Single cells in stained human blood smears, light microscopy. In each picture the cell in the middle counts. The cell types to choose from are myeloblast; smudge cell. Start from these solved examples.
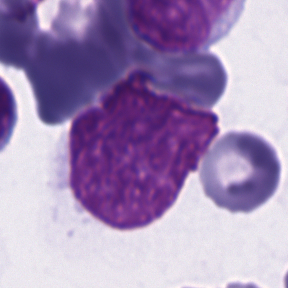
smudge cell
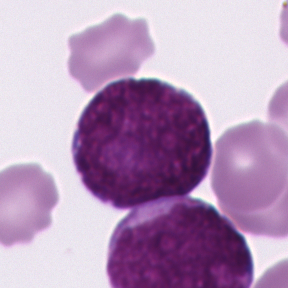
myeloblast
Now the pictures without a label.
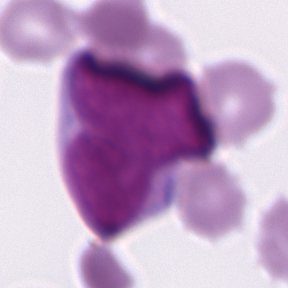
myeloblast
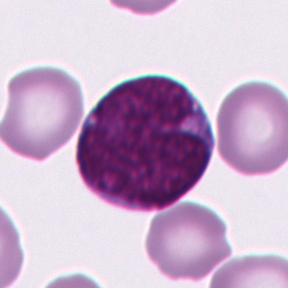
myeloblast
